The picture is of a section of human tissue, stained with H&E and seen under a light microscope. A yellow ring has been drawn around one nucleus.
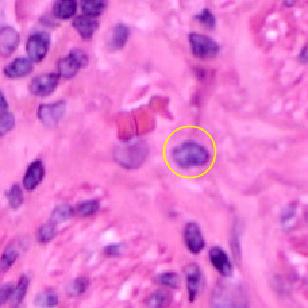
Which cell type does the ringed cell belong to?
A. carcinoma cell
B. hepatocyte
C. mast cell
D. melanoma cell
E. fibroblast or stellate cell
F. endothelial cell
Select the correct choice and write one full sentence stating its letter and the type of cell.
Option C names it right: the ringed cell is a mast cell.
